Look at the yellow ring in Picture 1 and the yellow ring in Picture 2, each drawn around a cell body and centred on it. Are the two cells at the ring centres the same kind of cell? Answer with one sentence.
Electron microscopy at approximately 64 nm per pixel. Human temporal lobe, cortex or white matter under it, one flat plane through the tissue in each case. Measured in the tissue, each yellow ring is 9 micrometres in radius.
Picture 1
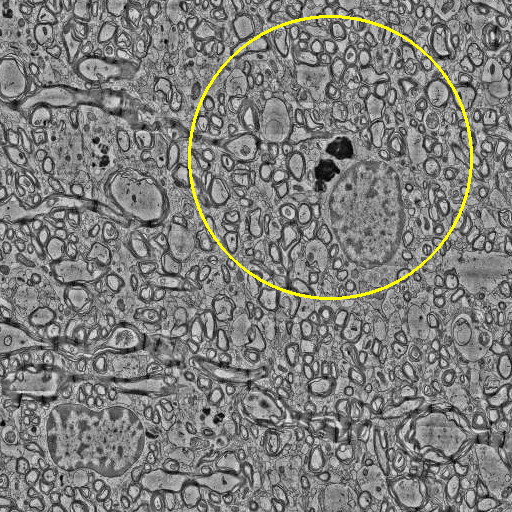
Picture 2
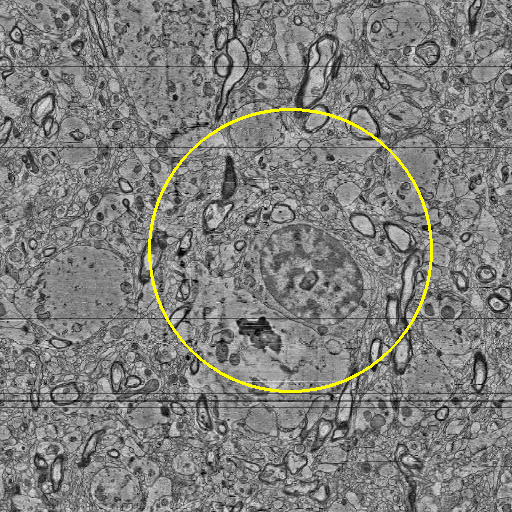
Yes, both are the same kind of cell.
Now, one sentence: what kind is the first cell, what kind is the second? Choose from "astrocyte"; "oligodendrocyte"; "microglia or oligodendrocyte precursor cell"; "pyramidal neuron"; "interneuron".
The ring centre holds an oligodendrocyte in each of the two pictures.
